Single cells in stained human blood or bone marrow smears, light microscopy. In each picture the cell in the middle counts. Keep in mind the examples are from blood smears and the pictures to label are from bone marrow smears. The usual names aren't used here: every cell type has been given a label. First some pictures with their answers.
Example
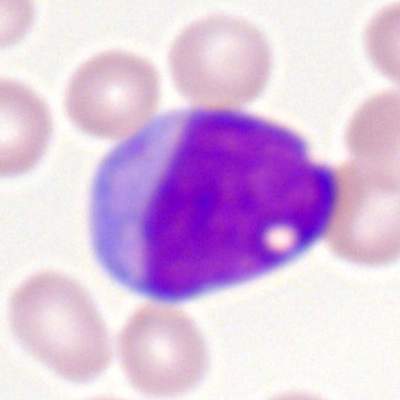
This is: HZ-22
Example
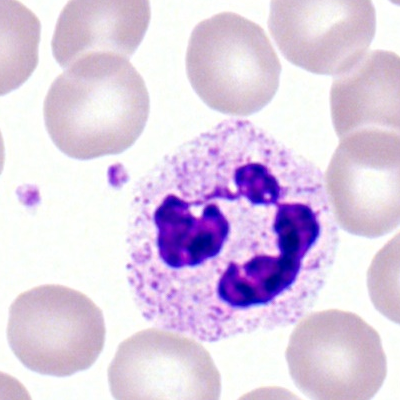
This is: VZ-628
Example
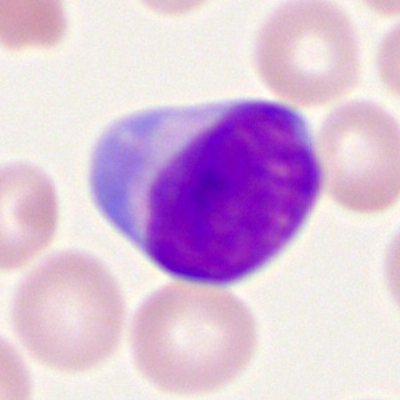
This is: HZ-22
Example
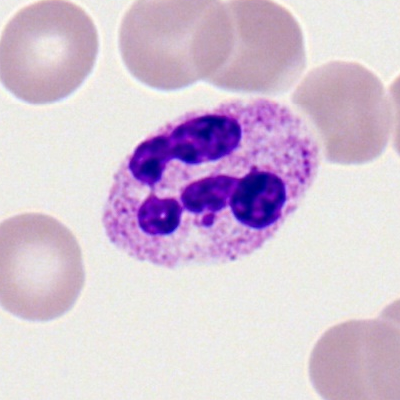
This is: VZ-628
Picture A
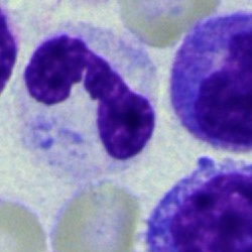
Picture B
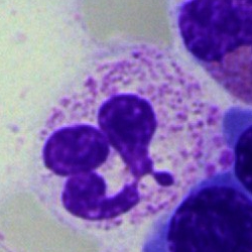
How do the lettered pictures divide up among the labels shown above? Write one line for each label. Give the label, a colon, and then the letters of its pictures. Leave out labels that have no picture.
VZ-628: A, B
